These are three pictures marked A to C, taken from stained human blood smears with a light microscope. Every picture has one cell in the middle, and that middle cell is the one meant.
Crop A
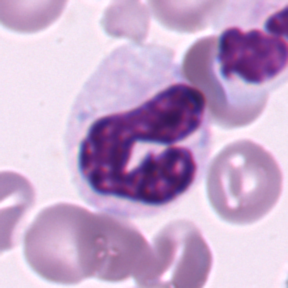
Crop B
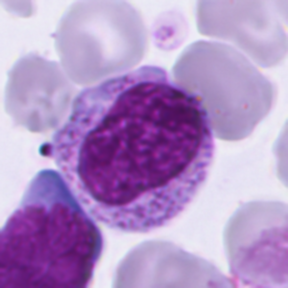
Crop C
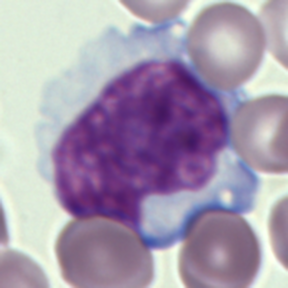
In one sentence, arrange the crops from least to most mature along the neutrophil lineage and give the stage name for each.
Increasing in maturity, the crops run crop C (a myeloblast), crop B (a metamyelocyte) and crop A (a band neutrophil).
